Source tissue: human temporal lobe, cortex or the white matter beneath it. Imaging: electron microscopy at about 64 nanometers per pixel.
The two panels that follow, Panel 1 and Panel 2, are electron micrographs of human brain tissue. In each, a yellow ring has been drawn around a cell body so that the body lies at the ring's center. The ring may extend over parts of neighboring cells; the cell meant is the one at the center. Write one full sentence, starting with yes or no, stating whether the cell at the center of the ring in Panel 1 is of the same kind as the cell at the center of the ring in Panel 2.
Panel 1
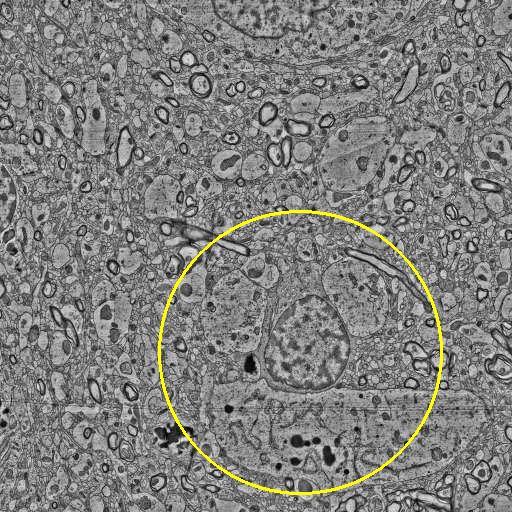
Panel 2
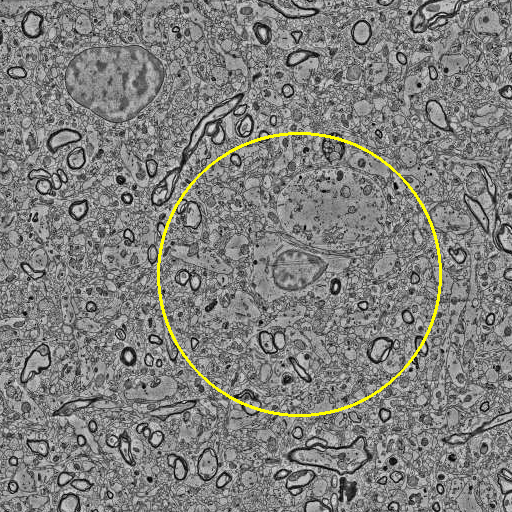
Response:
No, the cells in the two panels are of two kinds.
